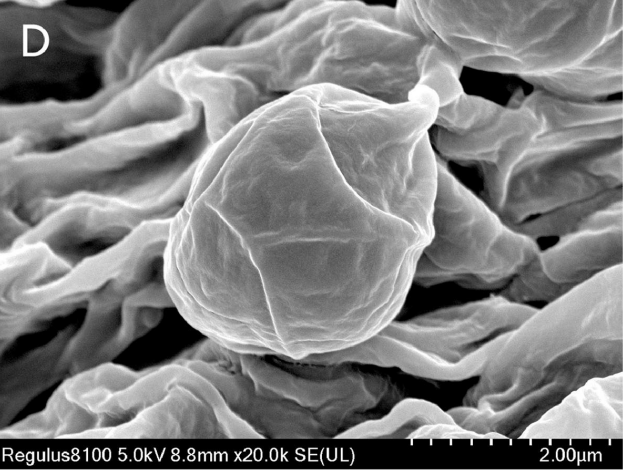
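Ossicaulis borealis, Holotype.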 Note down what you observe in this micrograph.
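A single basidiospore of this mushroom seen by scanning electron microscopy, nestled in a bed of collapsed, sheet-like filaments. A small pointed projection is visible at the upper right end where it meets the surrounding material. The crumpled filaments around it have thin, folded walls.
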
